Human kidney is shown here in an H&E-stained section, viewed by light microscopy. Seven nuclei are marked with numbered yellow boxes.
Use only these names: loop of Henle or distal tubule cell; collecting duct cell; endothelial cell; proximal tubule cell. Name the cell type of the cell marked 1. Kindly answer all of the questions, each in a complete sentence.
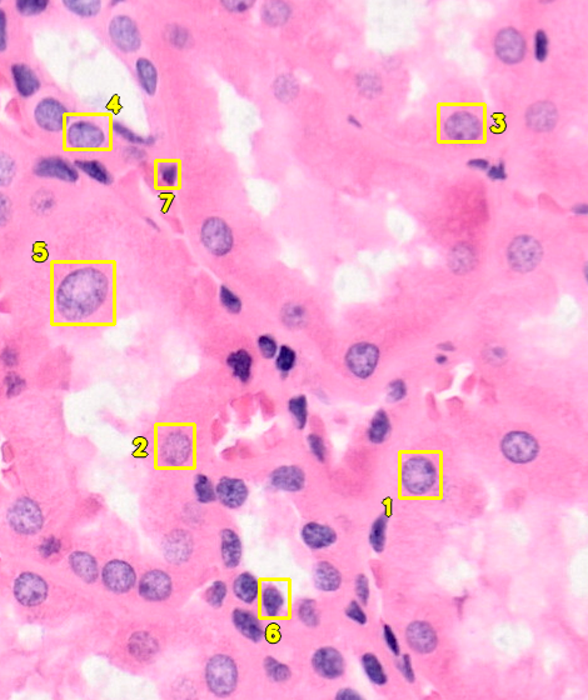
Regarding cell 1, this one is a proximal tubule cell.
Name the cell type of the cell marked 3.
The correct label for cell 3 is a proximal tubule cell.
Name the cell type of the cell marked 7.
At number 7, the marked cell is an endothelial cell.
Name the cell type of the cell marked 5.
The cell indicated by marker 5 is a proximal tubule cell in this section.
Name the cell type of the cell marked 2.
The cell referenced by the number 2 is a proximal tubule cell in this field.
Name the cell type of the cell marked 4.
The cell identified by the number 4 is a collecting duct cell.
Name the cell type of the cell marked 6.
The cell carrying label 6 is identified as a loop of Henle or distal tubule cell.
